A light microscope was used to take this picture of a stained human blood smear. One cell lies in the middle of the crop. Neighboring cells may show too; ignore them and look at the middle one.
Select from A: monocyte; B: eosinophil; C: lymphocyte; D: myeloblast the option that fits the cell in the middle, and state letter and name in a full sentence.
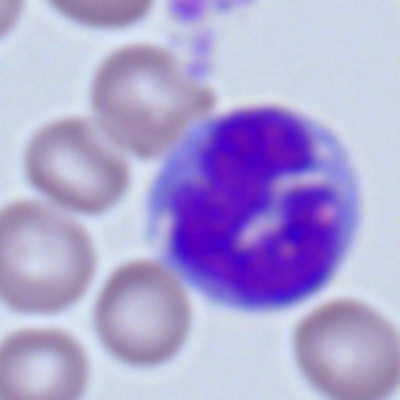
Option A correctly states that the central cell is a monocyte.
